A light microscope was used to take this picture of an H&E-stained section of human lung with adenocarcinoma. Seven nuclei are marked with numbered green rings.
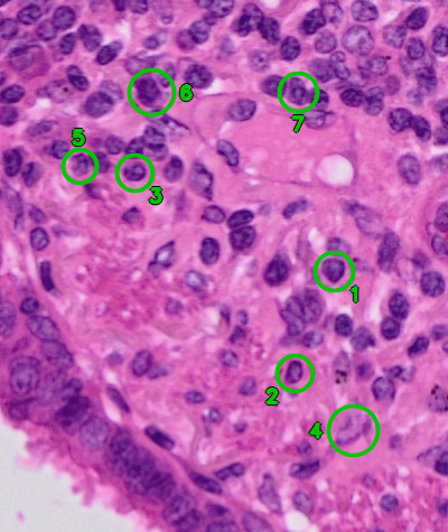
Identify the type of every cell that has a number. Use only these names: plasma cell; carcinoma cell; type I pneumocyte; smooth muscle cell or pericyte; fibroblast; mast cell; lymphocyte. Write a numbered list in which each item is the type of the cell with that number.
1. lymphocyte
2. mast cell
3. lymphocyte
4. fibroblast
5. lymphocyte
6. plasma cell
7. lymphocyte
